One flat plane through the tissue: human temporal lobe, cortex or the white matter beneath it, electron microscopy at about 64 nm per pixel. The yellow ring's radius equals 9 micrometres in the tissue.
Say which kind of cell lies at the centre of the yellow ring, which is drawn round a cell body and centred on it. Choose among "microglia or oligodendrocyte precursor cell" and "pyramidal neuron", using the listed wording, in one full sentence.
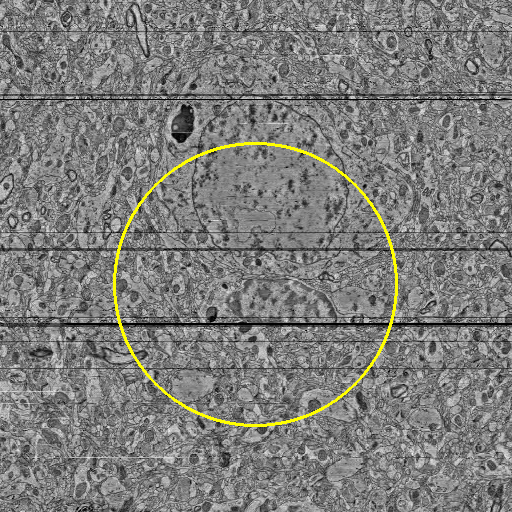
Going by the list, the cell at the yellow ring's centre is a microglial cell or oligodendrocyte precursor cell.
